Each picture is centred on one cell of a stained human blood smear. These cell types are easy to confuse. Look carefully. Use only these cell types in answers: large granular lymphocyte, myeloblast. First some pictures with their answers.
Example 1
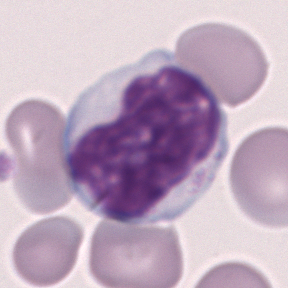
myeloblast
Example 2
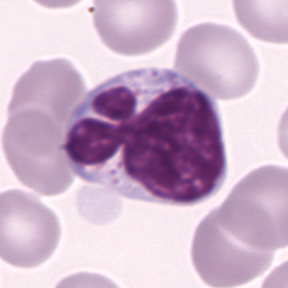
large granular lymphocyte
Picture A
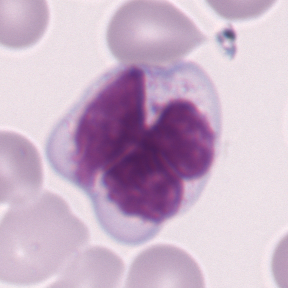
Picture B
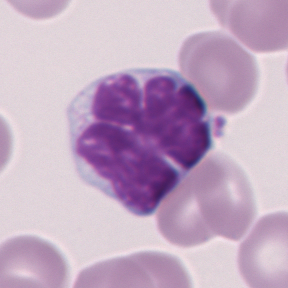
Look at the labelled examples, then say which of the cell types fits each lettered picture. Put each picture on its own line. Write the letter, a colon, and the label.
A: large granular lymphocyte
B: large granular lymphocyte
